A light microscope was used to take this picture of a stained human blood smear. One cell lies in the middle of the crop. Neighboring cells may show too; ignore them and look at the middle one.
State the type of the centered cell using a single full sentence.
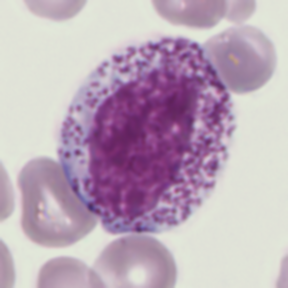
In the crop, the cell of interest at the centre is a myelocyte.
